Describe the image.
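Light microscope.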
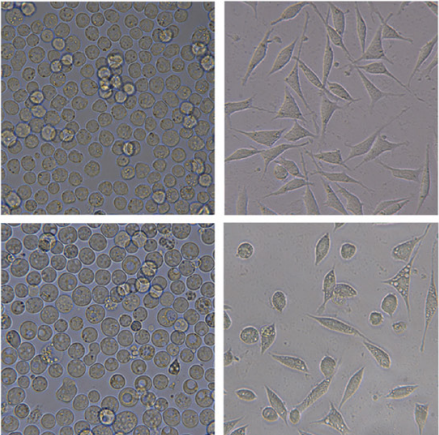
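On the left are round cells lying free and densely packed, each with a bright rim and a grainy interior; a few are clustered together. On the right are adherent cells, many spindle-shaped or polygonal with tapering extensions, spread out on the surface. In the lower right image fewer cells are spread out. Many have rounded up or shortened their extensions, and some show small clear spots in their cytoplasm. In the lower left image several round cells have a grainier or mottled interior.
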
